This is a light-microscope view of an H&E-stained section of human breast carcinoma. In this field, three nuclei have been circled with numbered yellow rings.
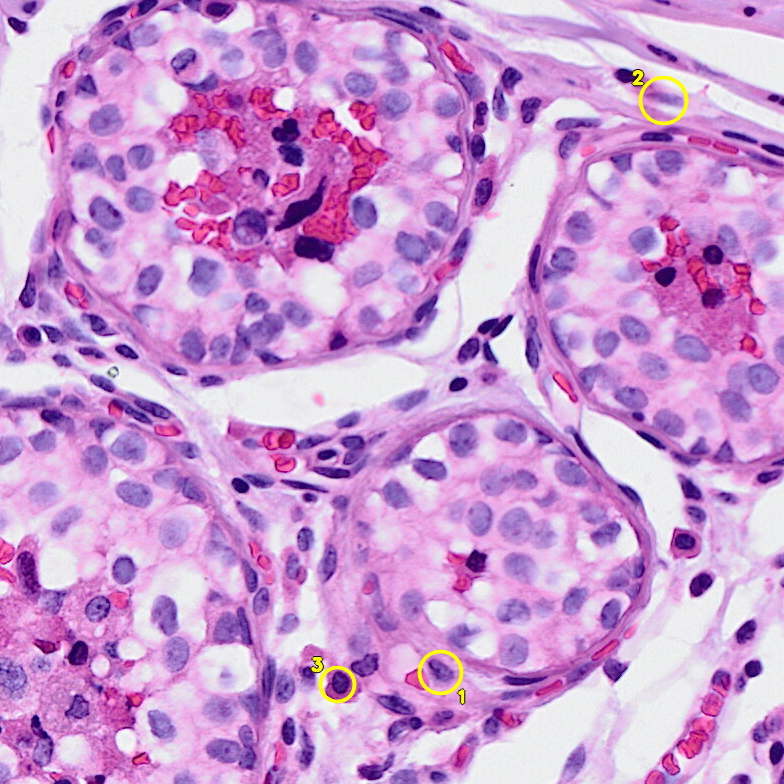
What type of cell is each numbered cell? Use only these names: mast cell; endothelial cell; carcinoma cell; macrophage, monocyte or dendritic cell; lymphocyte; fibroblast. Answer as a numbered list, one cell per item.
1. endothelial cell
2. fibroblast
3. mast cell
